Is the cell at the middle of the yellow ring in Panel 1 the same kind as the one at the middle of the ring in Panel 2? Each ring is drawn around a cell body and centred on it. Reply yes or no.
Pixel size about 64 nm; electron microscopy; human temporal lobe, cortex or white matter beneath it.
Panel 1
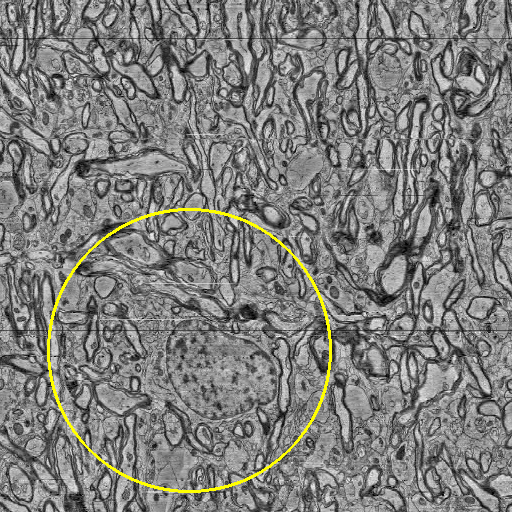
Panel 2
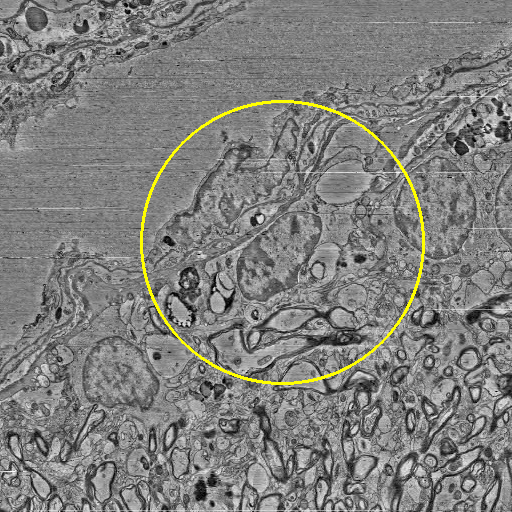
yes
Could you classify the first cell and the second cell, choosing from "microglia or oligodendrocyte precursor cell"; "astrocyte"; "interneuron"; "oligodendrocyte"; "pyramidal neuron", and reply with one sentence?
The ring centre holds a microglial cell or oligodendrocyte precursor cell in each of the two pictures.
